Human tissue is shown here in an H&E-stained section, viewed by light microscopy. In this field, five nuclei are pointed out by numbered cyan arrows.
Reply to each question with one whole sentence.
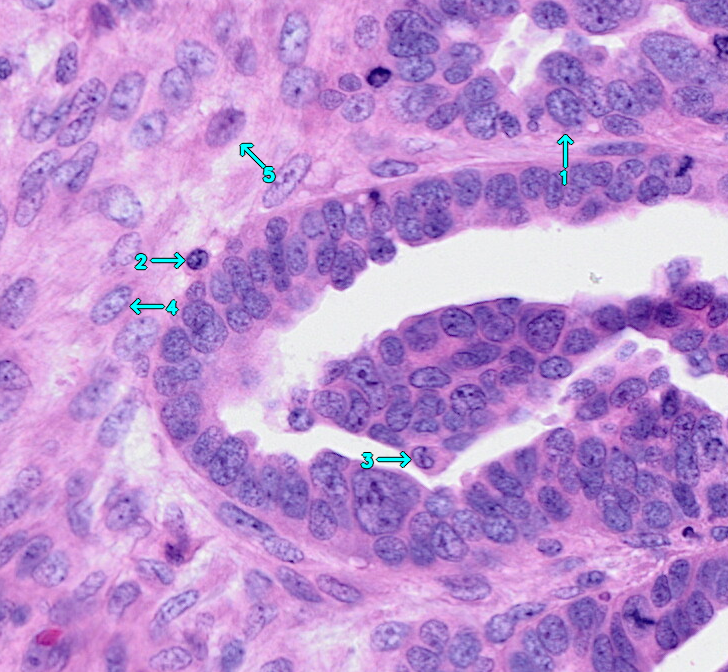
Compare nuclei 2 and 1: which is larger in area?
The larger nucleus is 1, at roughly 3 times the area of 2.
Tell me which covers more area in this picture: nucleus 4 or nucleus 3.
Of the two, number 4 is bigger and takes up about 2 times the area of number 3.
